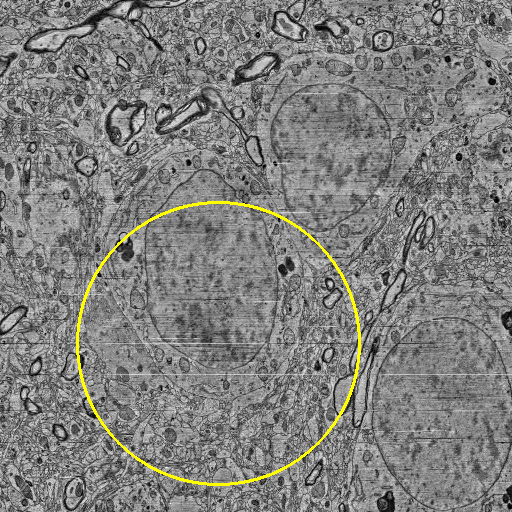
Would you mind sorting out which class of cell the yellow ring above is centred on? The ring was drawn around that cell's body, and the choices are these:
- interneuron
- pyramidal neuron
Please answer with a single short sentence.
This is the cell body of a pyramidal neuron.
